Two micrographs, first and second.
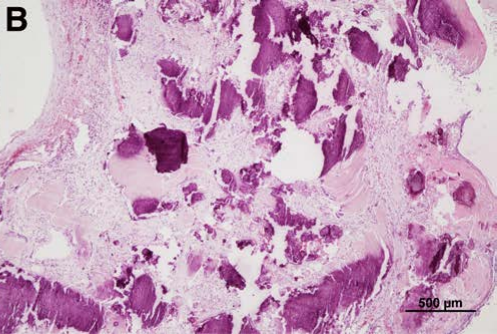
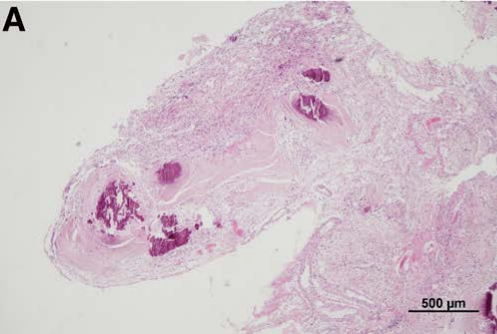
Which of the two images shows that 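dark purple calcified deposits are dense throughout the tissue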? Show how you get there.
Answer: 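The first image. First image: numerous dark purple angular deposits cover much of the field. Second image: only a few small dark purple deposits are scattered within pink tissue.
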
